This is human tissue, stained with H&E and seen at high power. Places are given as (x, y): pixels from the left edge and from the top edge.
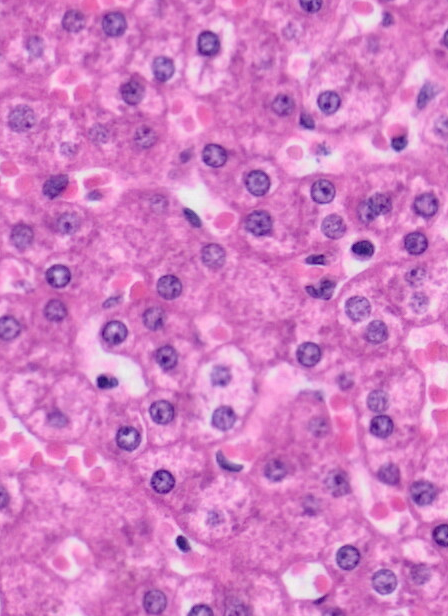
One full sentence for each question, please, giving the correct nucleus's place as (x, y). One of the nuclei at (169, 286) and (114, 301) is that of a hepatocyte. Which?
The nucleus at (169, 286) is the one of the two that belongs to a hepatocyte.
